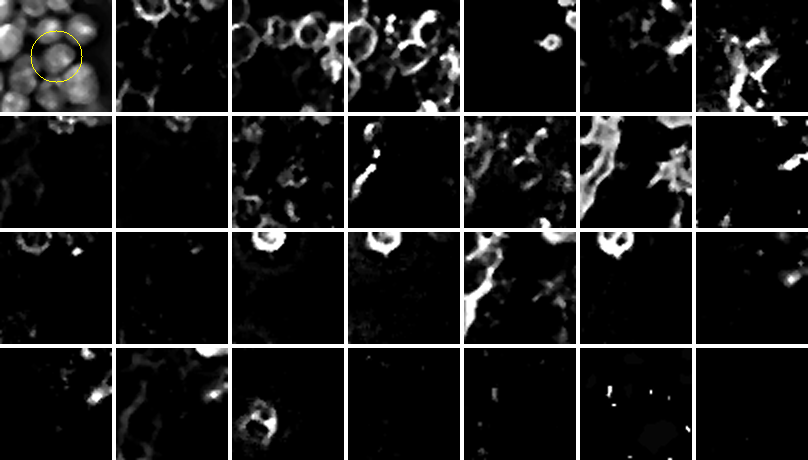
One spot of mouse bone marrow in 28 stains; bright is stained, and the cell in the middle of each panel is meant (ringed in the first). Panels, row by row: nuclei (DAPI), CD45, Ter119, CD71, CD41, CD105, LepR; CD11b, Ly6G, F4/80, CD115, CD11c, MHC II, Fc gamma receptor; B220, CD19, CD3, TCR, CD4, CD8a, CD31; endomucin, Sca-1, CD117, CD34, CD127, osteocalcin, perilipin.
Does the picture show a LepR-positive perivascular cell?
Yes.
